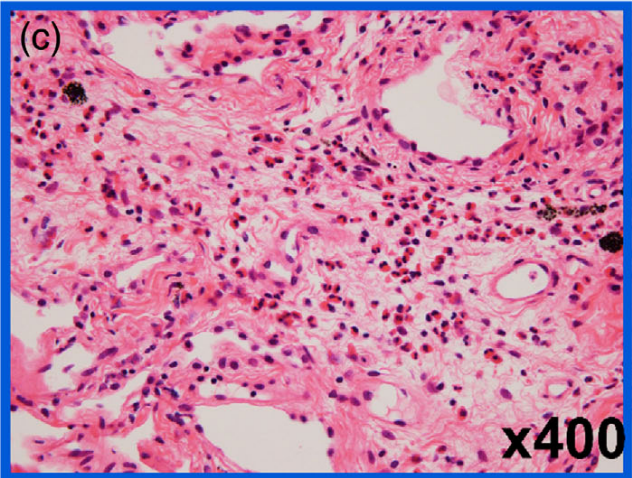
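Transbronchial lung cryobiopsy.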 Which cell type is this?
eosinophils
